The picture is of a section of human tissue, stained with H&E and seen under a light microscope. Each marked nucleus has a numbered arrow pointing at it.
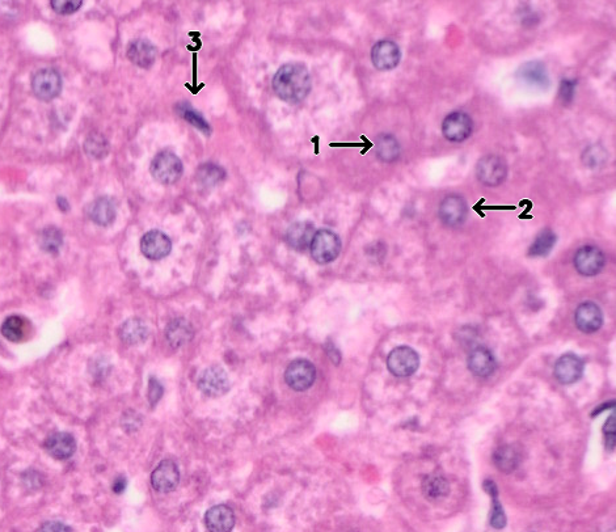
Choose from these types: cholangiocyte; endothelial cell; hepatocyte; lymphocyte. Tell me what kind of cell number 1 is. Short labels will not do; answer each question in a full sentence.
In this section, number 1 marks a hepatocyte.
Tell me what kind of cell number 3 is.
The label 3 in this section denotes an endothelial cell.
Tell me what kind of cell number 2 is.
Classified as a hepatocyte is the cell with the number 2.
